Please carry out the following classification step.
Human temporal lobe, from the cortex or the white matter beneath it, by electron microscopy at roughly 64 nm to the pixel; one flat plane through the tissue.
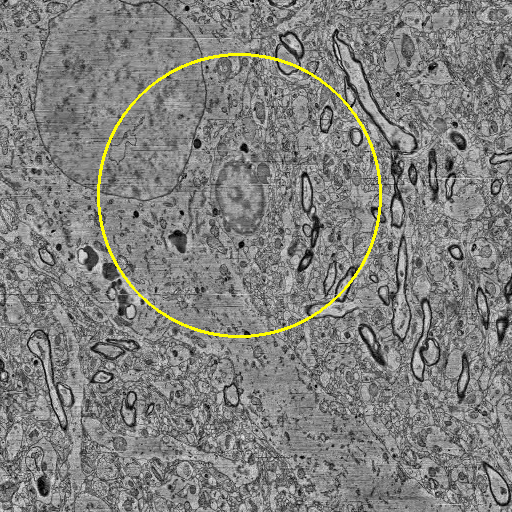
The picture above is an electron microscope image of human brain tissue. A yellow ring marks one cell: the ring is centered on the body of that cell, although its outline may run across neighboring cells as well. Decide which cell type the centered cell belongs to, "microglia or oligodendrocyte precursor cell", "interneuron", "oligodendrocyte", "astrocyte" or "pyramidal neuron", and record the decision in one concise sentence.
The cell centered in the yellow ring is an oligodendrocyte.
